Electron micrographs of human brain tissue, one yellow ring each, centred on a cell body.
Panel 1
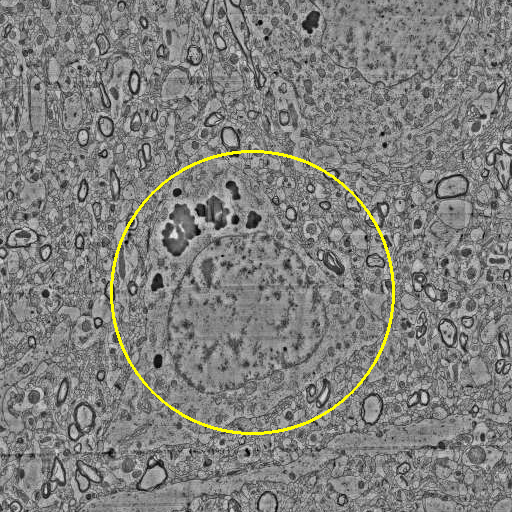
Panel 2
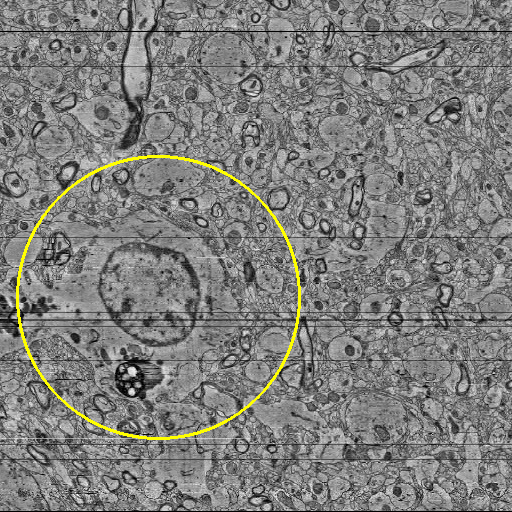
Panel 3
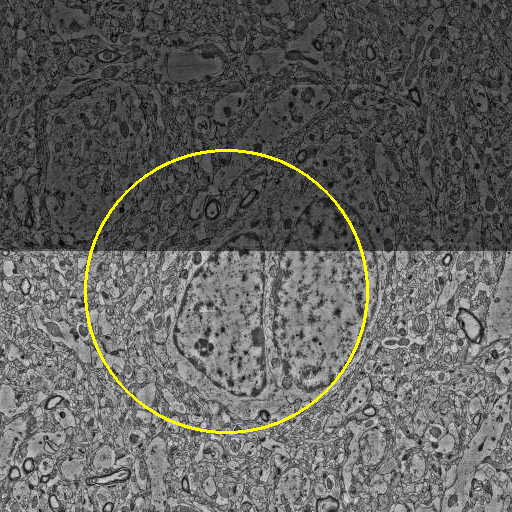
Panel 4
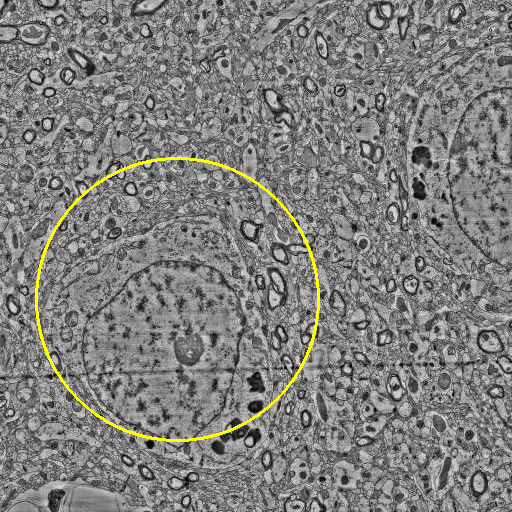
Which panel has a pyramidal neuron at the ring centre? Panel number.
4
